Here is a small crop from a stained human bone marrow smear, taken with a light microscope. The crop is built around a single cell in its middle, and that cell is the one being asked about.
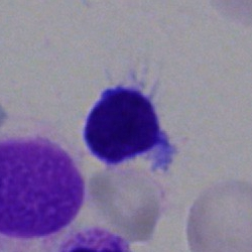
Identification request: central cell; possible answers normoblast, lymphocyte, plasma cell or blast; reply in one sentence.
The cell at the centre of the field is a lymphocyte.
